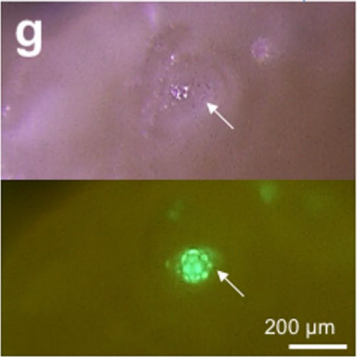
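In the upper image the tissue surface looks smooth and pale under pinkish light. A small, slightly raised spot that carries tiny glistening granules is marked by an arrow. In the lower image the same spot glows as a compact cluster of bright green, rounded units, each about the size of a single cell. A few fainter green spots lie scattered nearby on an otherwise dark, olive-toned background.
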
